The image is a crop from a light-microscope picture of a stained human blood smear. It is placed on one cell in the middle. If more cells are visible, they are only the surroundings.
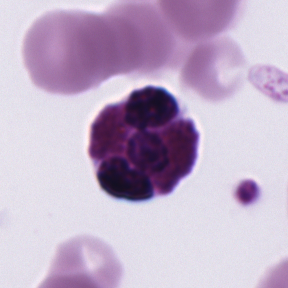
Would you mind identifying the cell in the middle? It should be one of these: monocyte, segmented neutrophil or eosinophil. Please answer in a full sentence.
The centered cell in this crop is an eosinophil.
